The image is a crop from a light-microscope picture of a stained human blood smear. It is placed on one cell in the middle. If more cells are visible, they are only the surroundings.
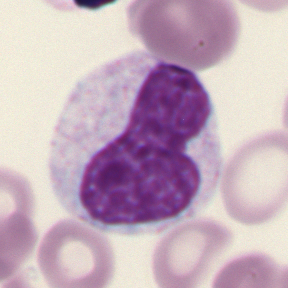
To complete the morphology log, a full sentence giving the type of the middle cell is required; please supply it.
The cell featured at the centre of this crop is a band neutrophil.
